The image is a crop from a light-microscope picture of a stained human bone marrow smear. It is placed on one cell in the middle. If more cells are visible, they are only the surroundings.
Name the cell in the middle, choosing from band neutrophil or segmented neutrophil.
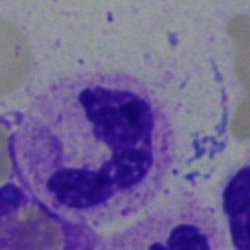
segmented neutrophil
